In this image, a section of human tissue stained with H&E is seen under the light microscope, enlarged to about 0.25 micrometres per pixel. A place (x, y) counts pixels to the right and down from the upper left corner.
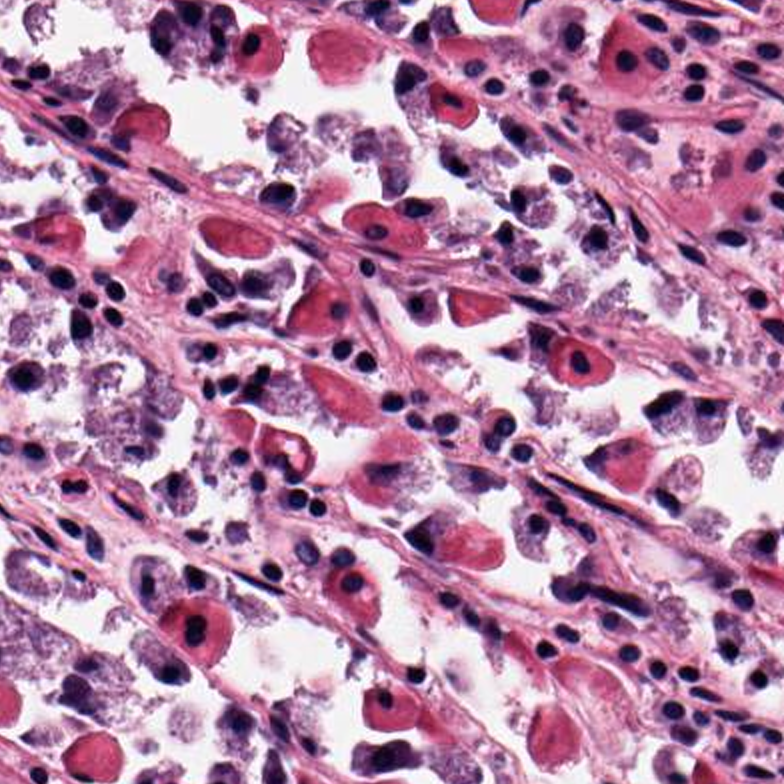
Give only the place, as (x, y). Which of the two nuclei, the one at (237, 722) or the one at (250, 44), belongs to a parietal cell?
(250, 44)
